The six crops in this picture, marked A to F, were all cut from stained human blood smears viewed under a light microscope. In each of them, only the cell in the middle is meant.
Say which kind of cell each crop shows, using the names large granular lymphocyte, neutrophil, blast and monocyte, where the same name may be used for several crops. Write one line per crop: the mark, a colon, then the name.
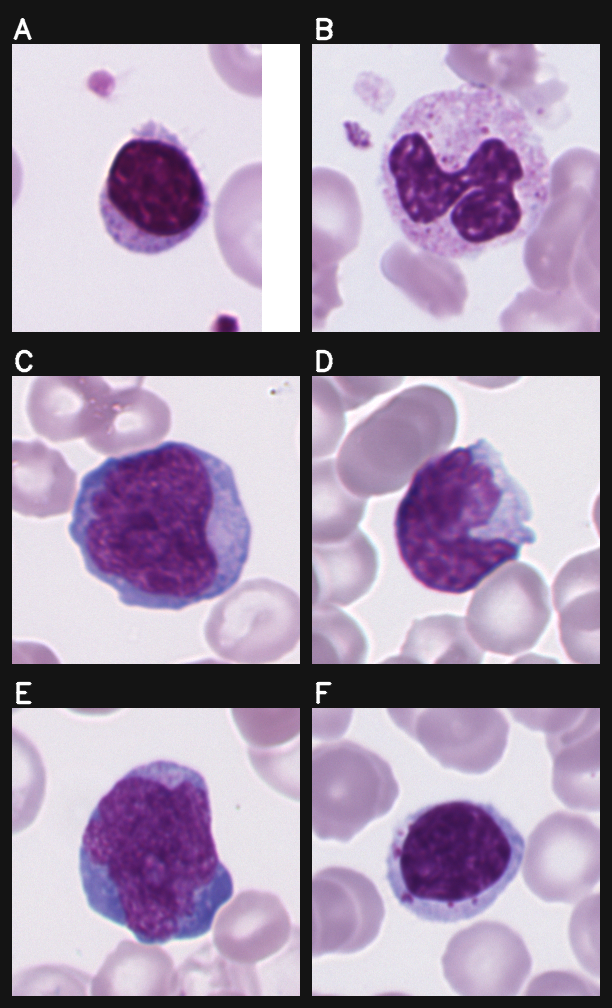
A: large granular lymphocyte
B: neutrophil
C: blast
D: monocyte
E: blast
F: large granular lymphocyte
